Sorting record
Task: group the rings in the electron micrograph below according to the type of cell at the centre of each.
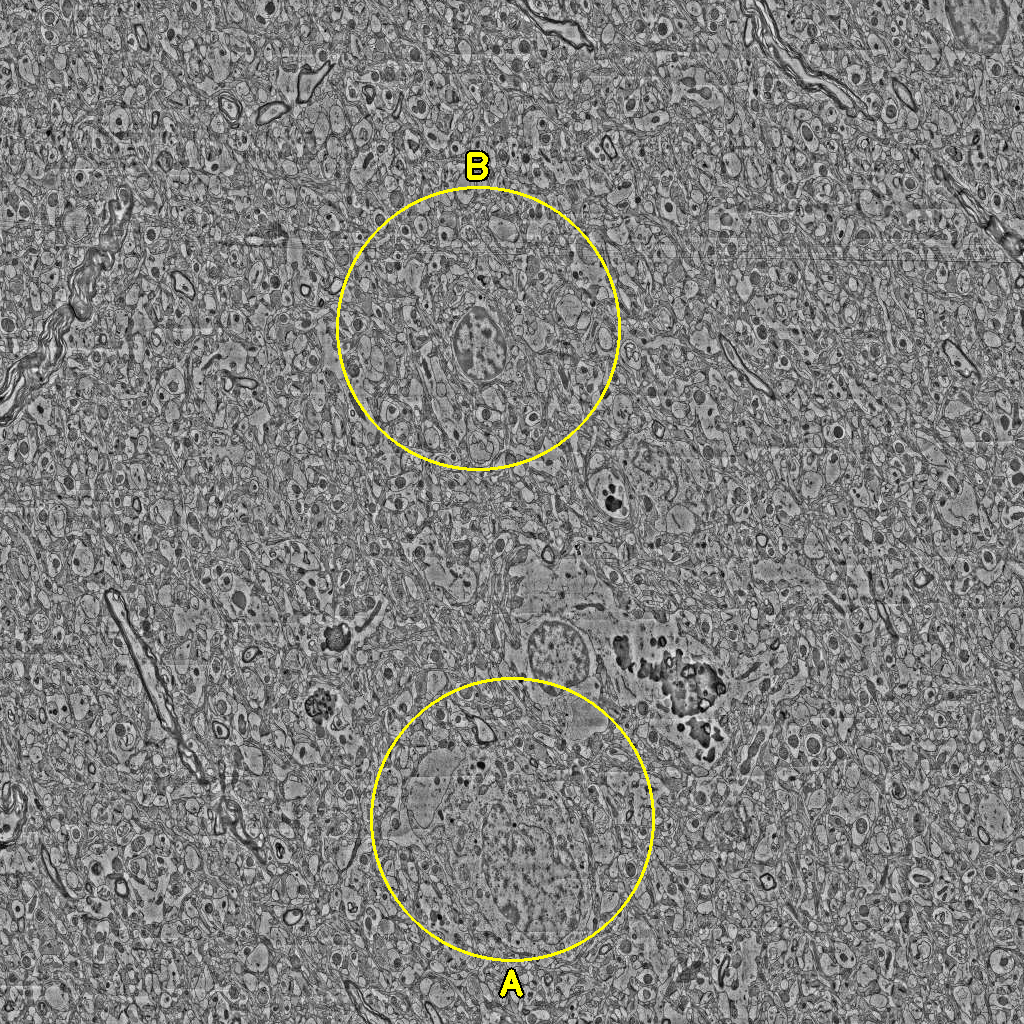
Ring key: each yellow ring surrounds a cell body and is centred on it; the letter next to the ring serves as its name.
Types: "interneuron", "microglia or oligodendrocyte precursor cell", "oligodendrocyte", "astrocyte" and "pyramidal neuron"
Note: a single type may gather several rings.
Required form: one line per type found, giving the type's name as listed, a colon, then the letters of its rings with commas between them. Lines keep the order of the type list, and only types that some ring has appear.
interneuron: A
microglia or oligodendrocyte precursor cell: B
